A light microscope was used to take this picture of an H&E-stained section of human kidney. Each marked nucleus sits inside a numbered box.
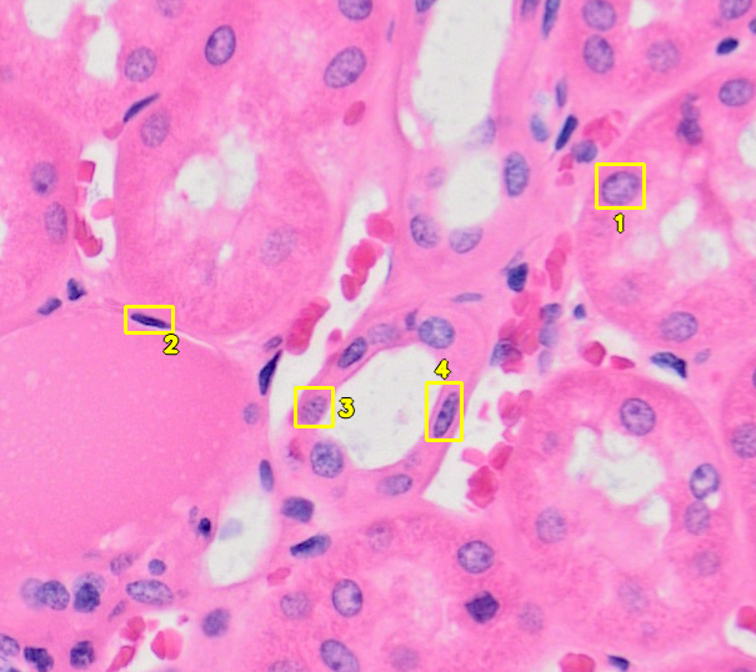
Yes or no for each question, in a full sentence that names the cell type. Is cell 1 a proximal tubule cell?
Yes, the cell at marker 1 is a proximal tubule cell.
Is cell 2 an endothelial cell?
Yes, cell 2 is an endothelial cell in this tissue section.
